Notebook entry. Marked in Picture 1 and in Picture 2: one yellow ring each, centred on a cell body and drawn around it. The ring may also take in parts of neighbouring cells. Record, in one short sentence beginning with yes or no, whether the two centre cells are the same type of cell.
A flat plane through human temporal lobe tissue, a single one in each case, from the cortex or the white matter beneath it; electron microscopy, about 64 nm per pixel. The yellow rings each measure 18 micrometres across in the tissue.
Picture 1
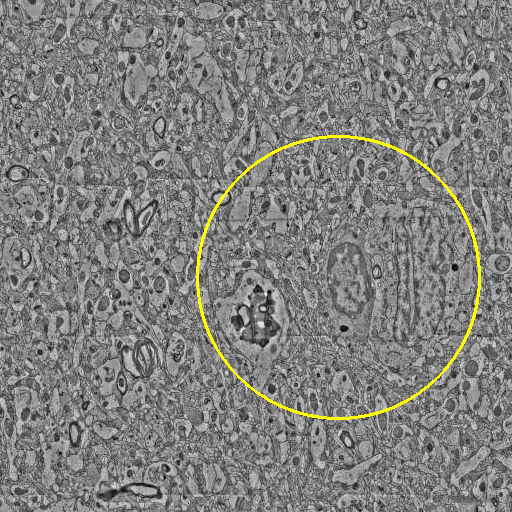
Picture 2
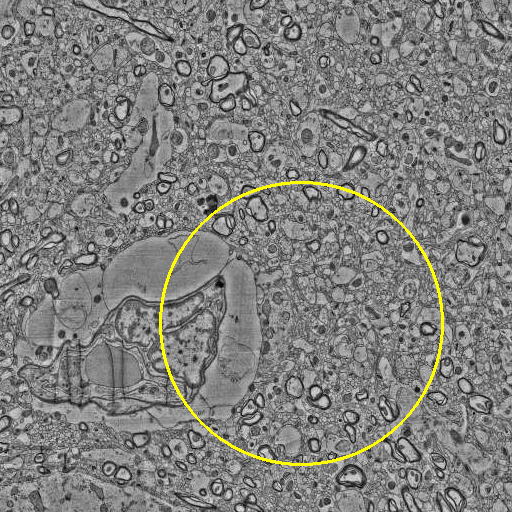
Yes, both are the same type of cell.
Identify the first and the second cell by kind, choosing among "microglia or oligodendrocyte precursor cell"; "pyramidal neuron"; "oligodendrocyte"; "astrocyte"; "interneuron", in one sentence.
In each of the two pictures, the ringed cell is an oligodendrocyte.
